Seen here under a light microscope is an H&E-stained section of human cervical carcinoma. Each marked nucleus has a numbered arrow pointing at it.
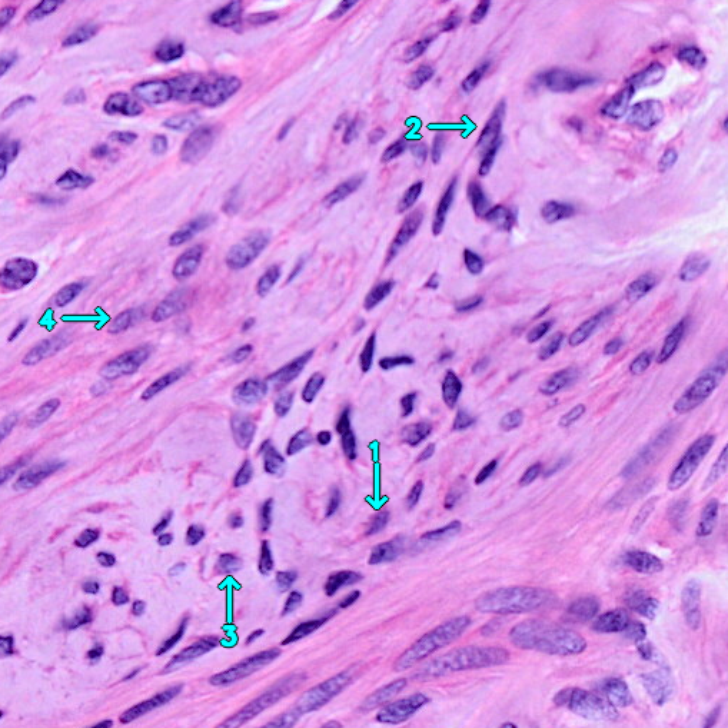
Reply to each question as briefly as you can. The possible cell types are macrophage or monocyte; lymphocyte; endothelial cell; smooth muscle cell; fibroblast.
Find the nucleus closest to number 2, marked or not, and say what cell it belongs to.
fibroblast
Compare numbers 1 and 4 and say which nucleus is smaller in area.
1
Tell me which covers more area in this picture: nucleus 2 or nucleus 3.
2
